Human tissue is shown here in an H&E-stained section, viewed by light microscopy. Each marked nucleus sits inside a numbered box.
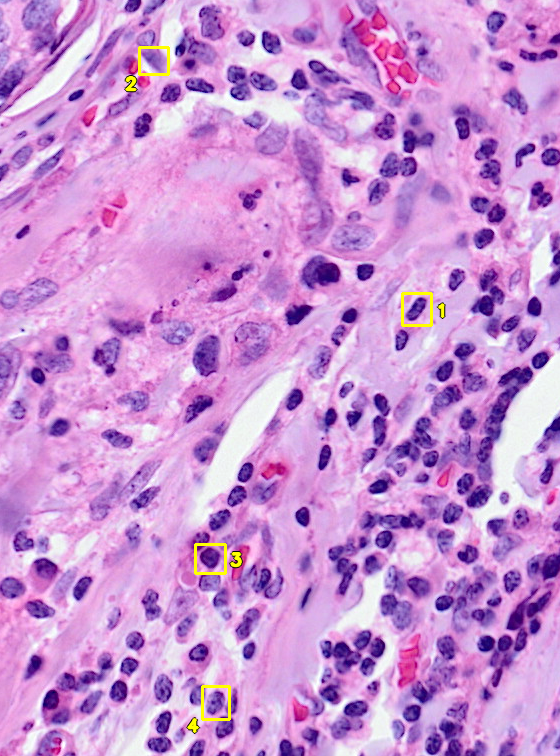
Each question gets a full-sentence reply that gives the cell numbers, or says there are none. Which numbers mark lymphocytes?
The cells with numbers 1, 3 and 4 are lymphocytes by type.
